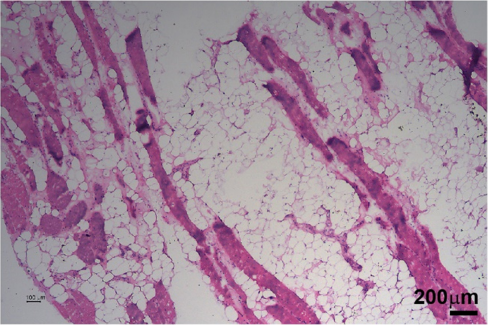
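This section of skeletal muscle shows only a few long pink bands of muscle fibers cut lengthwise, running diagonally through the field. Between them lie broad areas of pale, empty, rounded compartments separated by thin delicate walls, giving a honeycomb look. Some fiber bands are darker purple at their ends and edges. Overall the muscle is markedly infiltrated and replaced by fat.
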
